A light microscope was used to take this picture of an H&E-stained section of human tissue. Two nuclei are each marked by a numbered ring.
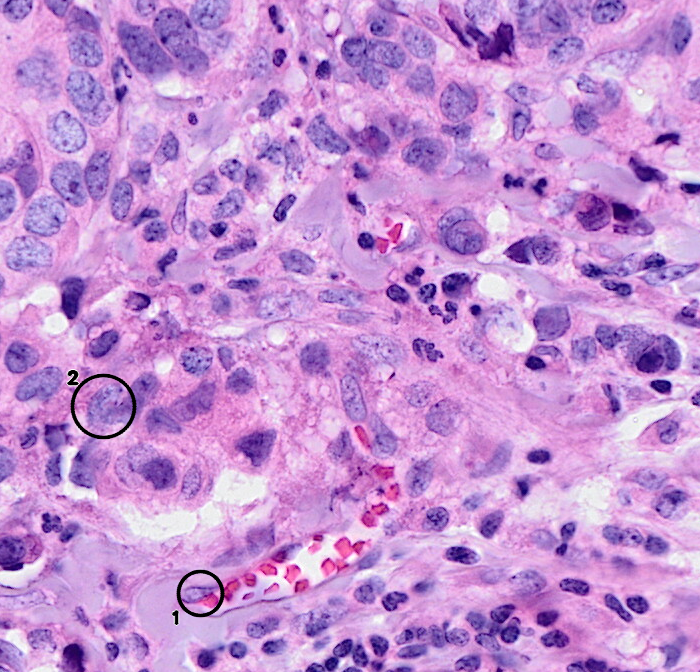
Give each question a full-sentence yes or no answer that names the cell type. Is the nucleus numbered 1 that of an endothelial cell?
Yes, the cell bearing the number 1 is an endothelial cell.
